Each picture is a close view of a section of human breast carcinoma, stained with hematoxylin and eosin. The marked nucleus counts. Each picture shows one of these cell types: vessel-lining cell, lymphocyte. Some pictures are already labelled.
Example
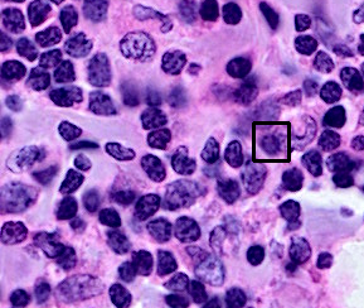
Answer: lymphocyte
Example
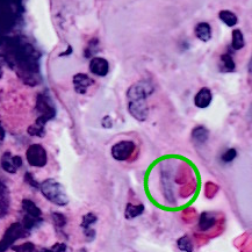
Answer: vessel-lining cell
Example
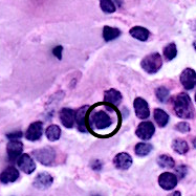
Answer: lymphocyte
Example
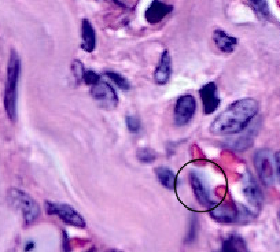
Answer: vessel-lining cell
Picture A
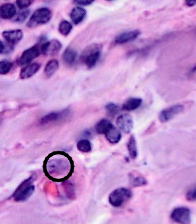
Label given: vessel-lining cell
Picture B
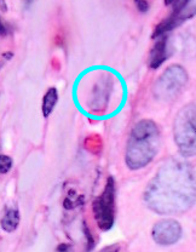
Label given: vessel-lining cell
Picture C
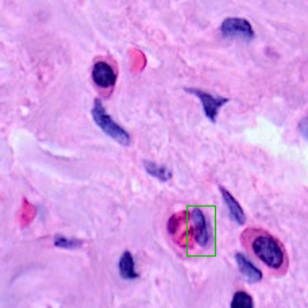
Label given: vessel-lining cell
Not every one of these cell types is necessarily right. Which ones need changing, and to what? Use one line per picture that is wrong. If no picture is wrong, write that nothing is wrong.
Every label is right.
